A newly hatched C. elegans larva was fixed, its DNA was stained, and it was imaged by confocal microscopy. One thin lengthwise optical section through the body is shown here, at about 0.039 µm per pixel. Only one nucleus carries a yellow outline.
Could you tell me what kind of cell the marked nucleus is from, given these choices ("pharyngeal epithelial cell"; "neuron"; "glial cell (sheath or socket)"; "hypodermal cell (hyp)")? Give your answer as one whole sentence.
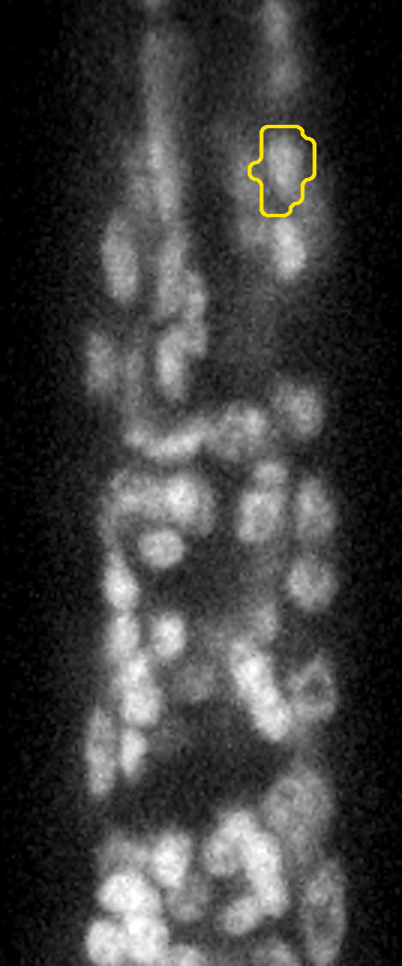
This nucleus is from a glial cell (sheath or socket).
